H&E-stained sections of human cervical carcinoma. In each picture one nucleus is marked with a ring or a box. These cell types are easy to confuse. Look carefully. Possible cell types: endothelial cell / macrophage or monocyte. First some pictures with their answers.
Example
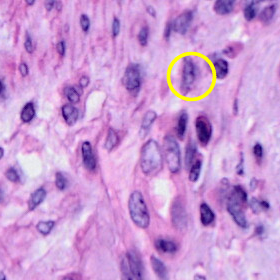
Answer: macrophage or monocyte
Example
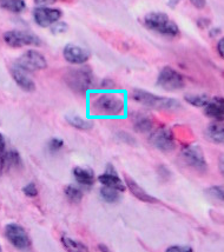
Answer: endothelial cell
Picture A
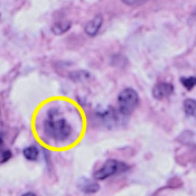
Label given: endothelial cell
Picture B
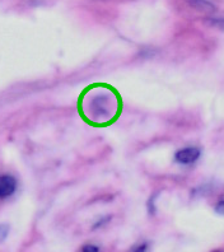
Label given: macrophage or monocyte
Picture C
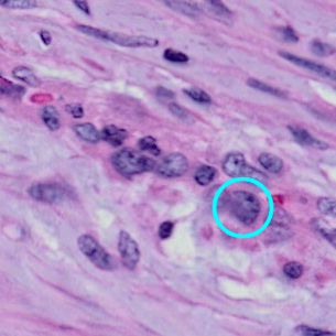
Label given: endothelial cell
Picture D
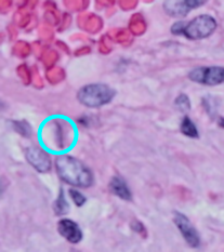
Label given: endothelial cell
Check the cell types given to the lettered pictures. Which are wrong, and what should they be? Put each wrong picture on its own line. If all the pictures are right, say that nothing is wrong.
A is labelled endothelial cell; correct label: macrophage or monocyte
